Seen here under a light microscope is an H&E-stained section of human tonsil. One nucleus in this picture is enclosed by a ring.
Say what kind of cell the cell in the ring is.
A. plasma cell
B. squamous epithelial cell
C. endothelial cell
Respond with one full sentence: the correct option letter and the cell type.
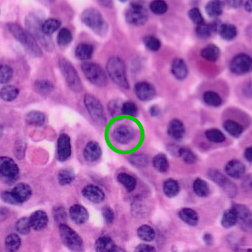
The correct option is A, as the cell in the ring is a plasma cell.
